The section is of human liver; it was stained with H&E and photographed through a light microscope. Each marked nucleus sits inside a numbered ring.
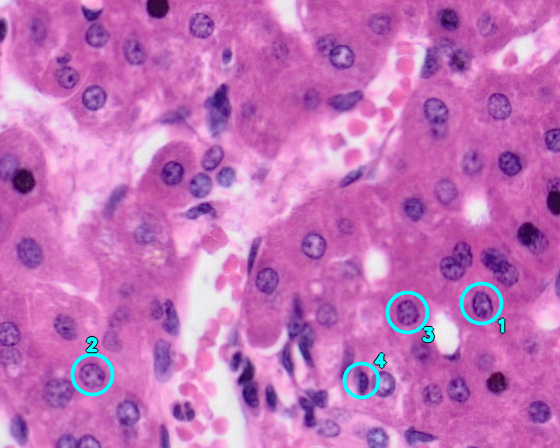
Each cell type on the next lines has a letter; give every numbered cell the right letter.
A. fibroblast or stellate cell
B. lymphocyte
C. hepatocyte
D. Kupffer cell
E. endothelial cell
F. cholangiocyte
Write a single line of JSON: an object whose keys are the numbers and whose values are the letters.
{"1": "C", "2": "C", "3": "C", "4": "A"}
